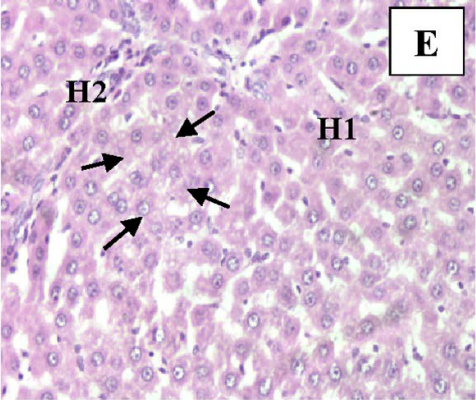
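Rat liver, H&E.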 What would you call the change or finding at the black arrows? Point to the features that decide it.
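The arrows surround a small area where the cytoplasm of the cells looks pale and clear. Surrounding cells have more evenly pink cytoplasm. That points to this answer: vacuolated hepatocytes.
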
